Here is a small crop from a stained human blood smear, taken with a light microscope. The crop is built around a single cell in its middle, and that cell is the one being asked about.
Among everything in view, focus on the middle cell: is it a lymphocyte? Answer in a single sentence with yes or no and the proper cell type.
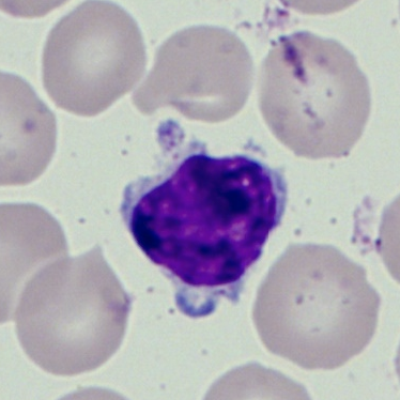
Yes, the cell at the heart of the crop is a lymphocyte.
